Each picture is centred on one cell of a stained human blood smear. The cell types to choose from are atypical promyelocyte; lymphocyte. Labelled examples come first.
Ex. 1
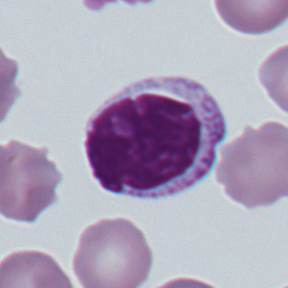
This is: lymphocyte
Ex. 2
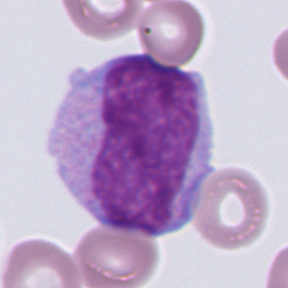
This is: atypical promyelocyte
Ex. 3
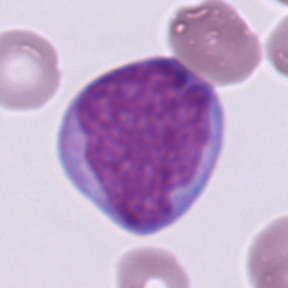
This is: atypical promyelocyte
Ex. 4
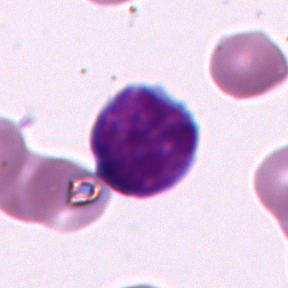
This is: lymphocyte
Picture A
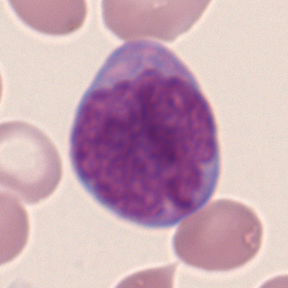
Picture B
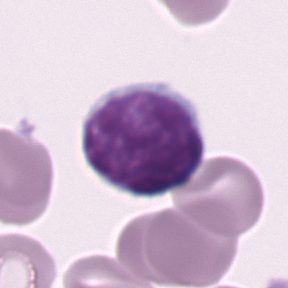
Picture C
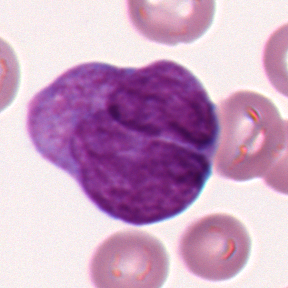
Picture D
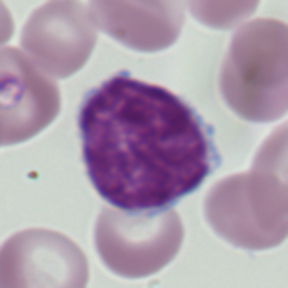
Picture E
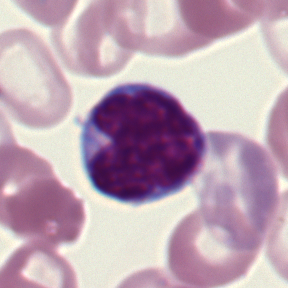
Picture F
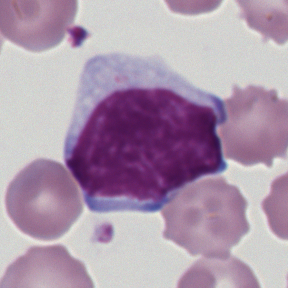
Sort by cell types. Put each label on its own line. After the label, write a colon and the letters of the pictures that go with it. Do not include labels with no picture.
atypical promyelocyte: A, C
lymphocyte: B, D, E, F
